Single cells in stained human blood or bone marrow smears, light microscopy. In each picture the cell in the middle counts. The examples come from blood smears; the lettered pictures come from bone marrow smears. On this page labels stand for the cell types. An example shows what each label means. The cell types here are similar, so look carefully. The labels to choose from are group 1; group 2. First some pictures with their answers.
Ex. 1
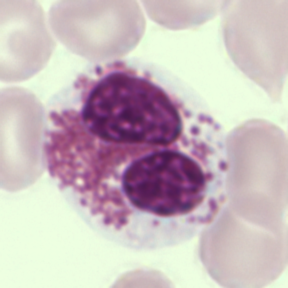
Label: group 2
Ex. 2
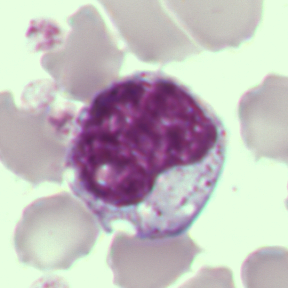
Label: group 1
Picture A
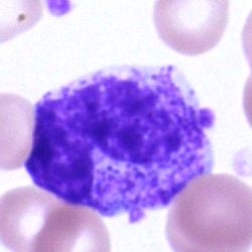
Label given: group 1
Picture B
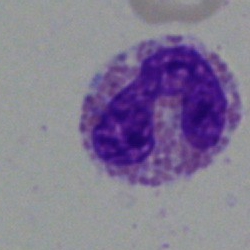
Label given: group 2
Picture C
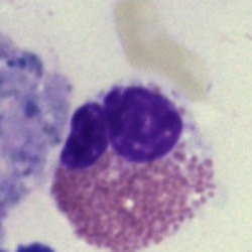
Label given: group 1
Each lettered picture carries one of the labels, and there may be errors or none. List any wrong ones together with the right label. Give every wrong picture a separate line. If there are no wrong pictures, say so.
Wrong: C (group 1); correct: group 2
